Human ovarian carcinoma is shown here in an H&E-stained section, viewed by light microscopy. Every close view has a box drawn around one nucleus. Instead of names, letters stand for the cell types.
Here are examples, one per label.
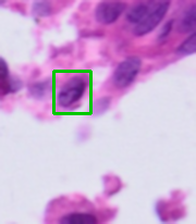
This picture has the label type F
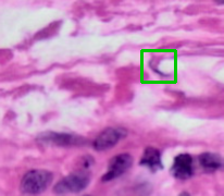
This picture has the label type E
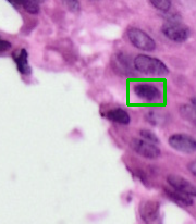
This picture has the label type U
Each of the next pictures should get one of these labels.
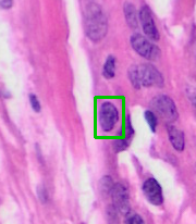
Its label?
type F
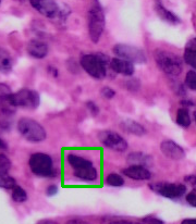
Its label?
type U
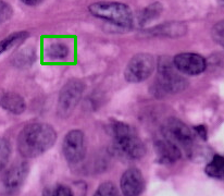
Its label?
type F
